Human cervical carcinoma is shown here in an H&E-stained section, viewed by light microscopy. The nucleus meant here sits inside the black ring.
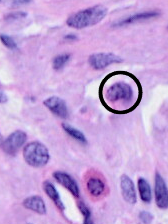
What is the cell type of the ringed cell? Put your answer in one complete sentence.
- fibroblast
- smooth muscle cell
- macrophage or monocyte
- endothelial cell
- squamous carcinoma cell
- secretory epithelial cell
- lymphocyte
It is as a macrophage or monocyte that the ringed cell is classified.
